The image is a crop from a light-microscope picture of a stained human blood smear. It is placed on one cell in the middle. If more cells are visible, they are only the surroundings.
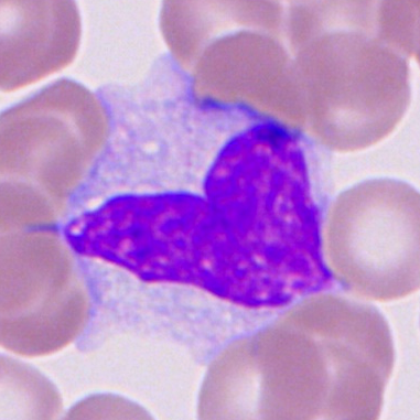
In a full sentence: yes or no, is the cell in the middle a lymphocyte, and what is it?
No, the middle of this crop is occupied by a monocyte rather than a lymphocyte.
